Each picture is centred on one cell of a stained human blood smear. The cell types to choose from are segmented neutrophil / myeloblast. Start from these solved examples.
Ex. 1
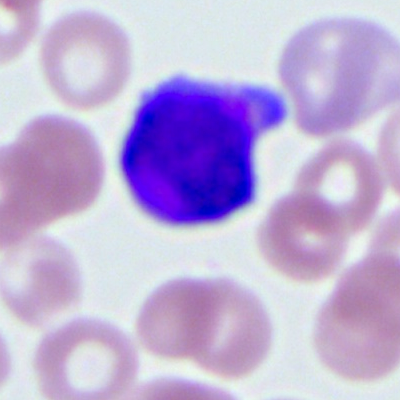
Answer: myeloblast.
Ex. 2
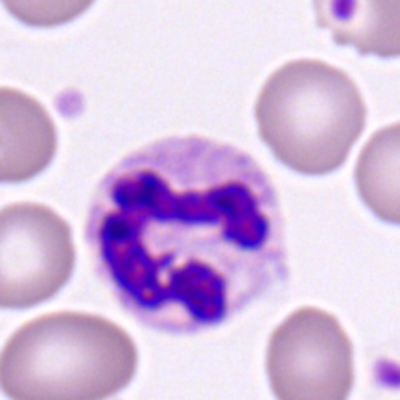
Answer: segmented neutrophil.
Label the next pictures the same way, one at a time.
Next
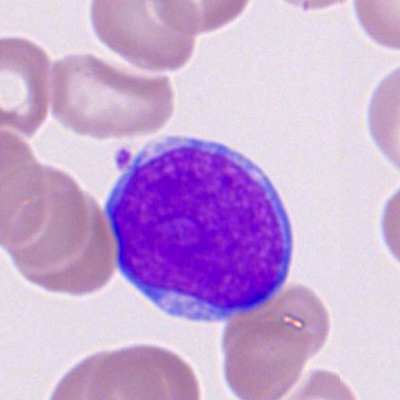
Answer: myeloblast.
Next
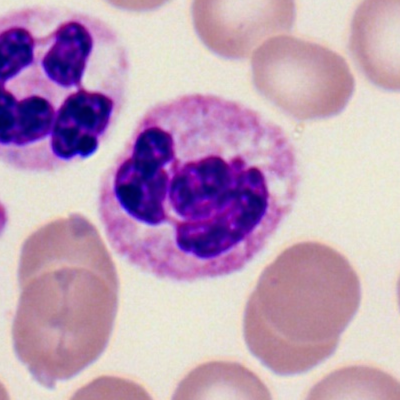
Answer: segmented neutrophil.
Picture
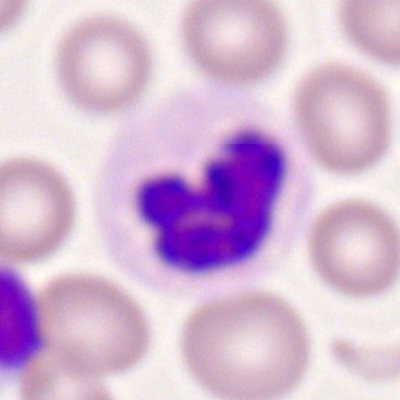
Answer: segmented neutrophil.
